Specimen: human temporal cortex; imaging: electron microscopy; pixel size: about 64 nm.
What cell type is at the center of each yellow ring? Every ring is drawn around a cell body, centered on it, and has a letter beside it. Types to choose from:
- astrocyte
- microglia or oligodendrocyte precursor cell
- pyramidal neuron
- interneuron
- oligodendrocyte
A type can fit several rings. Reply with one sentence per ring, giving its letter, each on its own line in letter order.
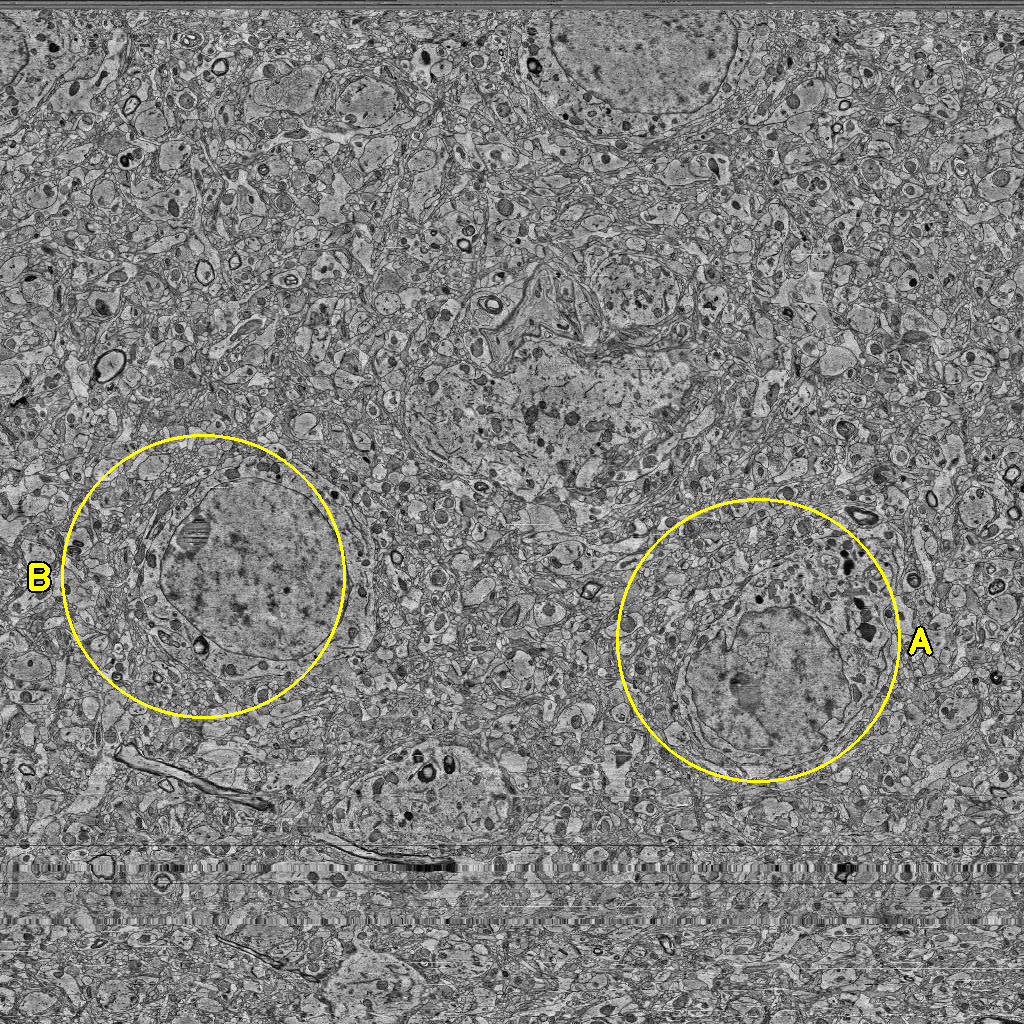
Ring A is placed around an interneuron.
Ring B is placed around a pyramidal neuron.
